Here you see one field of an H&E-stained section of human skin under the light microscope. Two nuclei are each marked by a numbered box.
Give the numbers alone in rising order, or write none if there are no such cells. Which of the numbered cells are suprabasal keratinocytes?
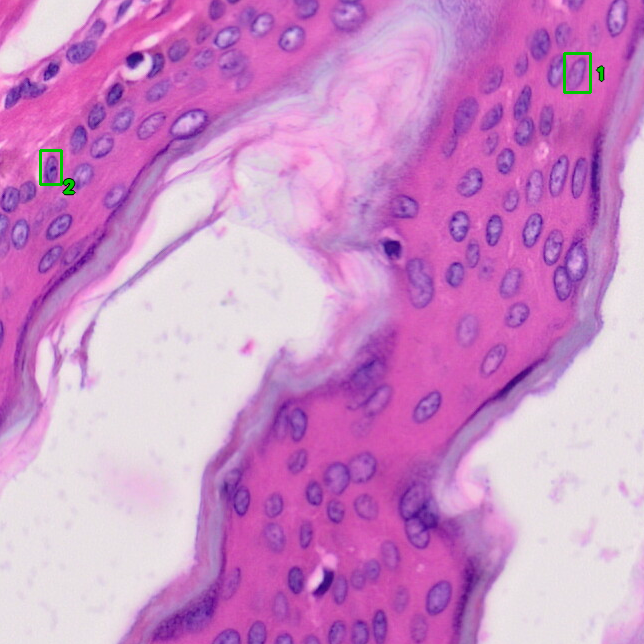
1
